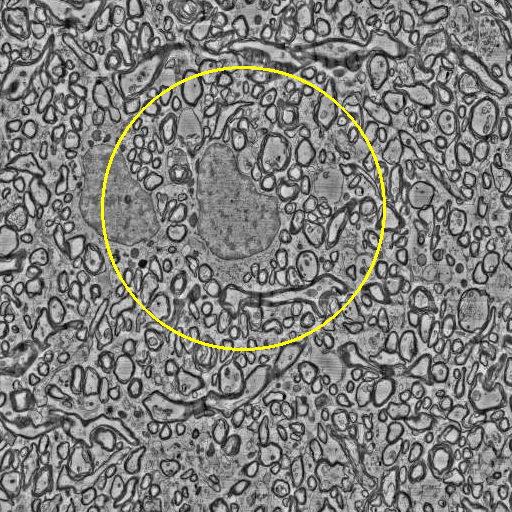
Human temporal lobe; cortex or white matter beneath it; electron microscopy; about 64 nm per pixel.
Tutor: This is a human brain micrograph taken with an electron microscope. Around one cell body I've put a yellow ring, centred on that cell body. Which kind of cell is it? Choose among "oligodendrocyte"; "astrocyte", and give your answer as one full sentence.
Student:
Going by your list, the cell centred in the yellow ring is an oligodendrocyte.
